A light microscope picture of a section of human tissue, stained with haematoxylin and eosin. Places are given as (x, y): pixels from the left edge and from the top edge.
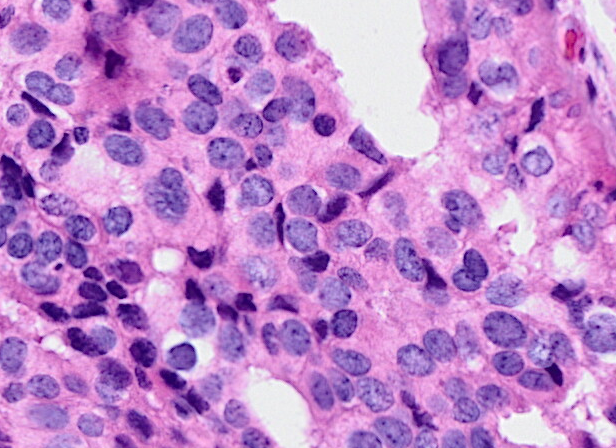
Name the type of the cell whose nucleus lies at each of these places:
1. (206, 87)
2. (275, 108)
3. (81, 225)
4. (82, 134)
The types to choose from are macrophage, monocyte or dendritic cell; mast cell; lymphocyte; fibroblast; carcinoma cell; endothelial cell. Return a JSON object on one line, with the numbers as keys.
{"1": "carcinoma cell", "2": "carcinoma cell", "3": "carcinoma cell", "4": "lymphocyte"}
